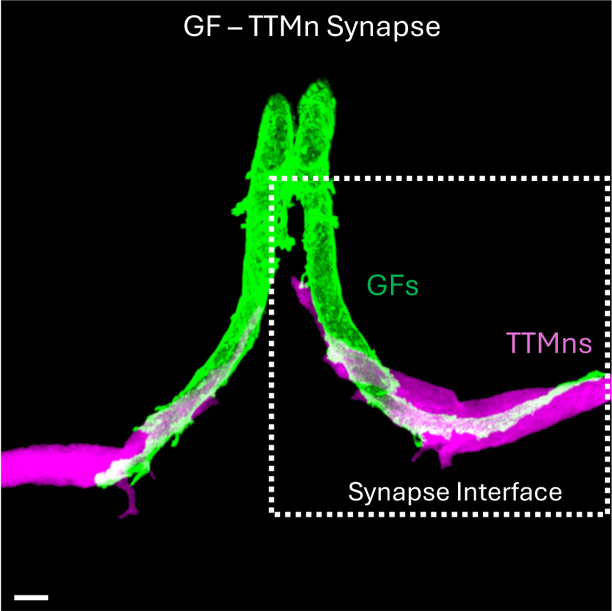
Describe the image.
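Two green axons run down side by side and then bend outward to either side, each ending in a tapering terminal. Along the lower part of each terminal a thick magenta process runs alongside, and where the two touch the overlap appears white, forming an elongated contact zone along the terminal.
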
